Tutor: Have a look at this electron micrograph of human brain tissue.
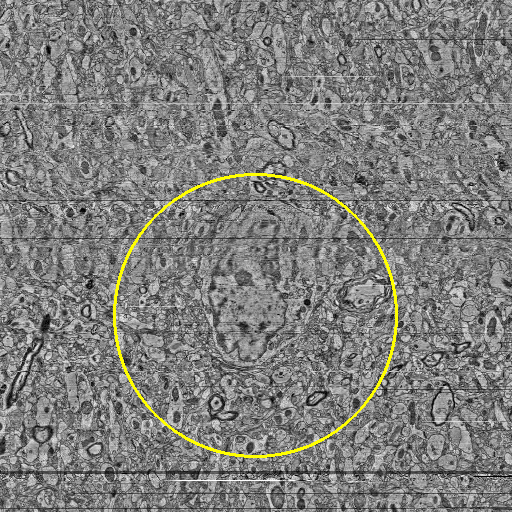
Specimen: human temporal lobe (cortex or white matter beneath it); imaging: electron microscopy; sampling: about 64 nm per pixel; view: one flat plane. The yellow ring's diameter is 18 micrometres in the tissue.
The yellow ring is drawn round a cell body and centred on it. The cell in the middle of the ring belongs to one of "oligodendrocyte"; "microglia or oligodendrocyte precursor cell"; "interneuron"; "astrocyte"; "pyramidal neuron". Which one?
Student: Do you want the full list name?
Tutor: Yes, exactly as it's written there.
interneuron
